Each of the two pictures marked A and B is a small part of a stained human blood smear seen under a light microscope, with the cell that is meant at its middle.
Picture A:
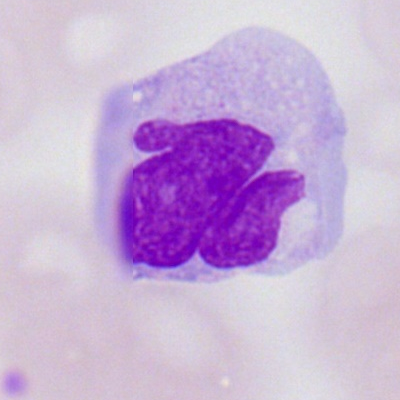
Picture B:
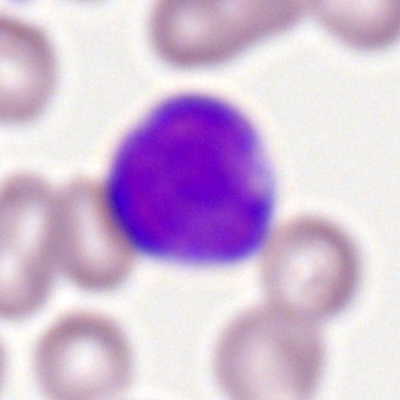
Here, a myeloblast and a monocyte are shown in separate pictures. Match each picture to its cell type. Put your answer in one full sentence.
The cell in picture A is a monocyte, and the one in picture B is a myeloblast.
